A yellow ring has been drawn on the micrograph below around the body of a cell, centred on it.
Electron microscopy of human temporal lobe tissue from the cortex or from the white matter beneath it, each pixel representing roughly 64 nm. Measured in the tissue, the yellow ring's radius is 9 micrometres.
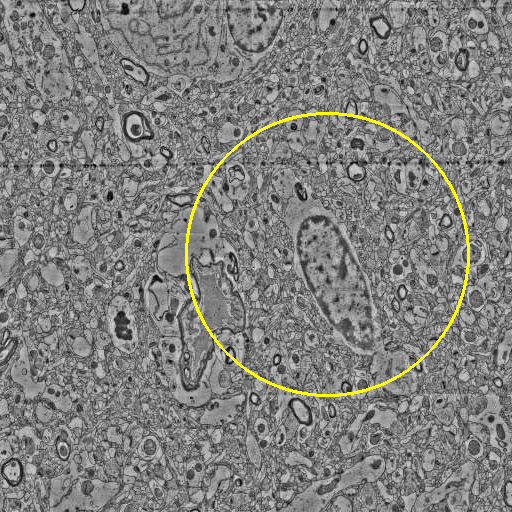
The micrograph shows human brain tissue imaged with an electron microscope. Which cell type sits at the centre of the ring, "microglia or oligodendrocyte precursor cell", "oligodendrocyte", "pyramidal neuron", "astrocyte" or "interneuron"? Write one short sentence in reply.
The cell sitting at the centre of the ring is a microglial cell or oligodendrocyte precursor cell.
